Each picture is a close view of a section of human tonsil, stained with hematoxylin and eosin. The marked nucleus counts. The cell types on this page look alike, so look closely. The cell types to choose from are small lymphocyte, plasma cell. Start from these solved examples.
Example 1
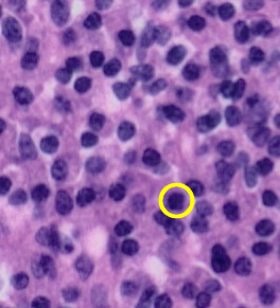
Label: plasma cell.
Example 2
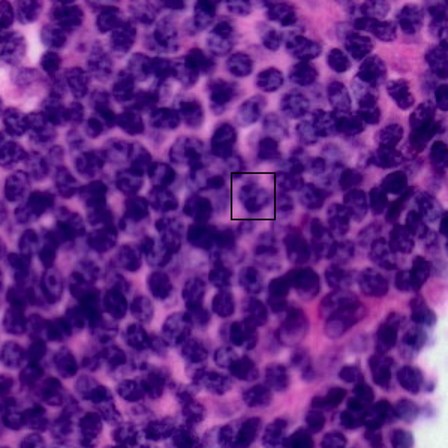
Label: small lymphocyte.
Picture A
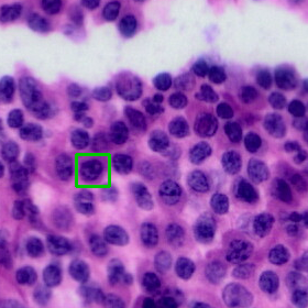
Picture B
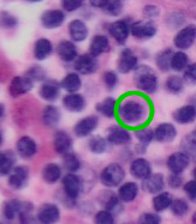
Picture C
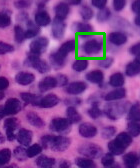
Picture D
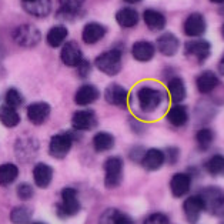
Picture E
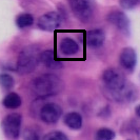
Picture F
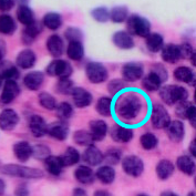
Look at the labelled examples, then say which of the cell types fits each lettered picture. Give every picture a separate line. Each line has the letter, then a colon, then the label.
A: plasma cell.
B: small lymphocyte.
C: small lymphocyte.
D: small lymphocyte.
E: plasma cell.
F: small lymphocyte.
